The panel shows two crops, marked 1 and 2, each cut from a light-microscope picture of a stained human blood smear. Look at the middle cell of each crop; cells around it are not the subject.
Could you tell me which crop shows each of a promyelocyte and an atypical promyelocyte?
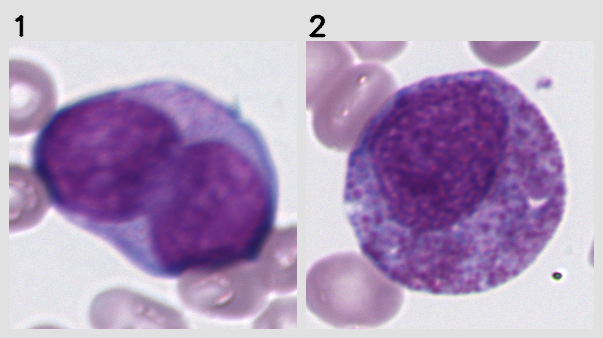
1: atypical promyelocyte
2: promyelocyte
